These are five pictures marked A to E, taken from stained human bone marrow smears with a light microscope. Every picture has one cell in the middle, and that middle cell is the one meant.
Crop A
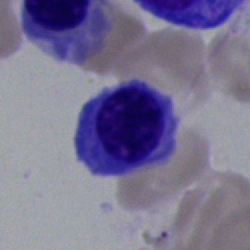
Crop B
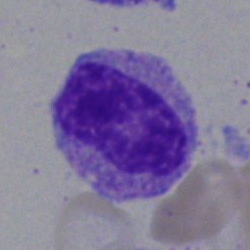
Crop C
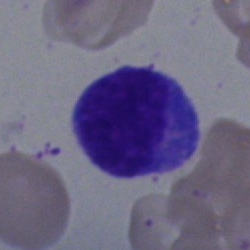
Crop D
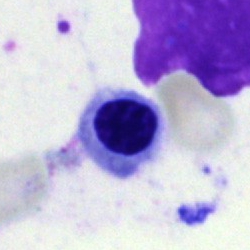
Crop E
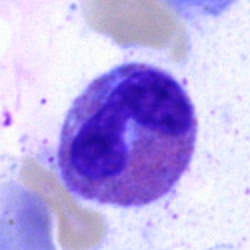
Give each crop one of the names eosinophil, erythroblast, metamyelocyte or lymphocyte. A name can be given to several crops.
A: erythroblast
B: metamyelocyte
C: lymphocyte
D: erythroblast
E: eosinophil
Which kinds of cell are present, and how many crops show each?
erythroblast: 2
metamyelocyte: 1
lymphocyte: 1
eosinophil: 1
